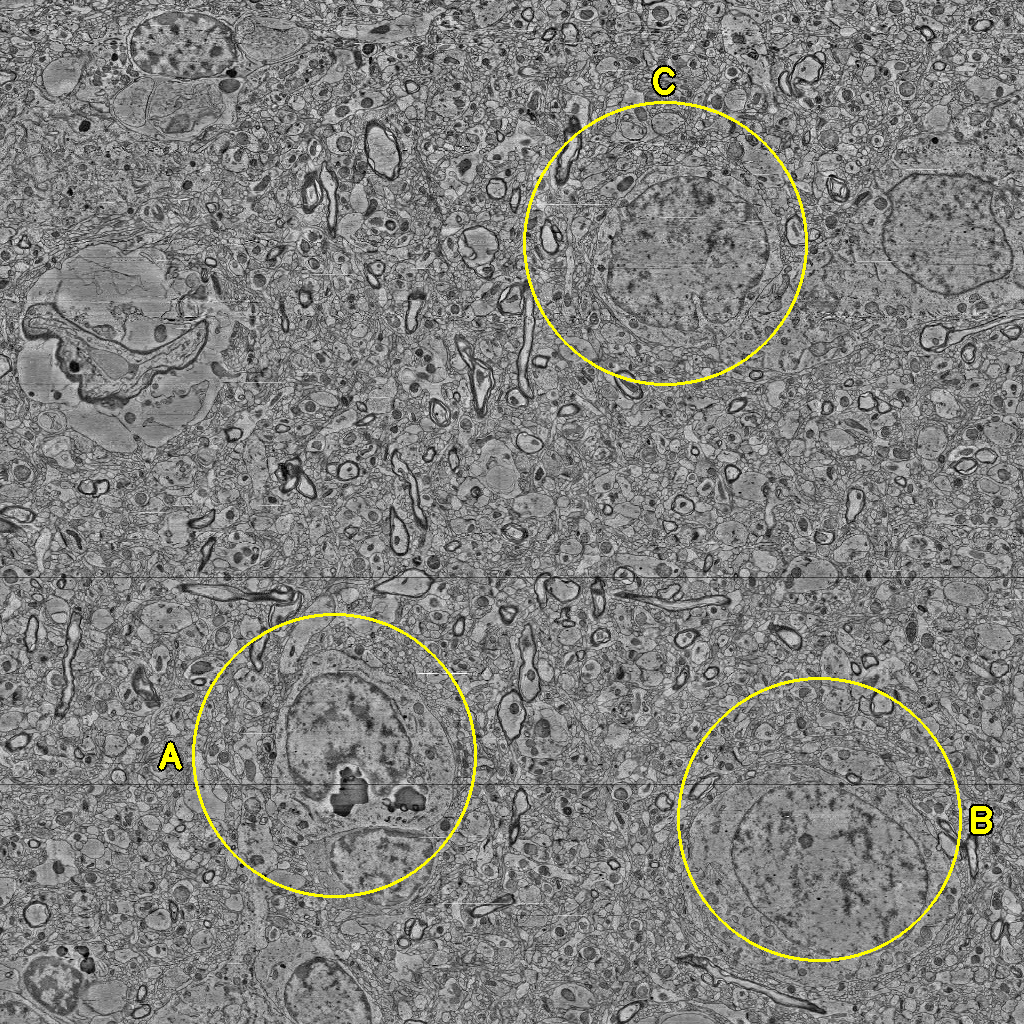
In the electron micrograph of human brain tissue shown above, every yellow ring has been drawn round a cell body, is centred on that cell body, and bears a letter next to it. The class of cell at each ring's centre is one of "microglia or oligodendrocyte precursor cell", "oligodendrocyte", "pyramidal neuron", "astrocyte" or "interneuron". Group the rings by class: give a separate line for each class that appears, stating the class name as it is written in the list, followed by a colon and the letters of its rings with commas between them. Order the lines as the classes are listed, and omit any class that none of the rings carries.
interneuron: A, B, C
